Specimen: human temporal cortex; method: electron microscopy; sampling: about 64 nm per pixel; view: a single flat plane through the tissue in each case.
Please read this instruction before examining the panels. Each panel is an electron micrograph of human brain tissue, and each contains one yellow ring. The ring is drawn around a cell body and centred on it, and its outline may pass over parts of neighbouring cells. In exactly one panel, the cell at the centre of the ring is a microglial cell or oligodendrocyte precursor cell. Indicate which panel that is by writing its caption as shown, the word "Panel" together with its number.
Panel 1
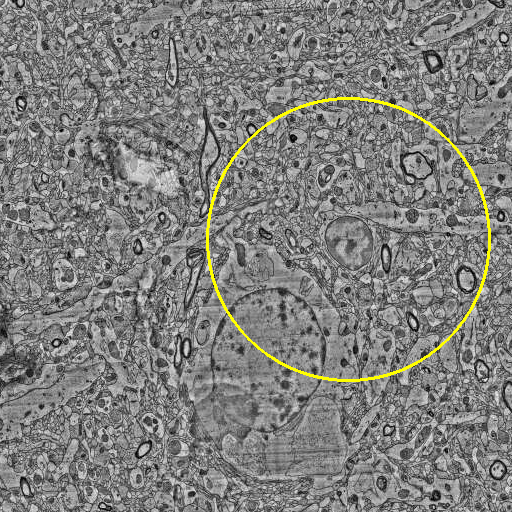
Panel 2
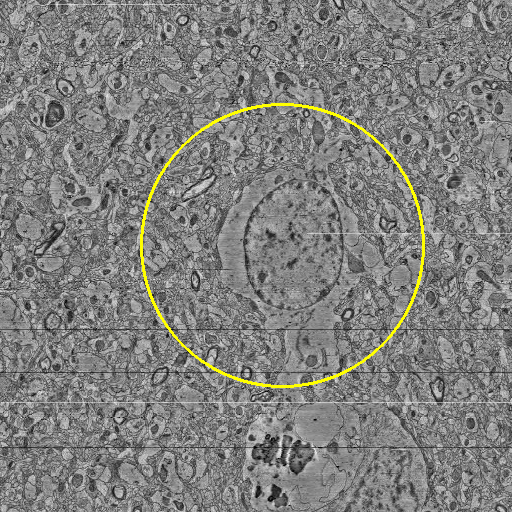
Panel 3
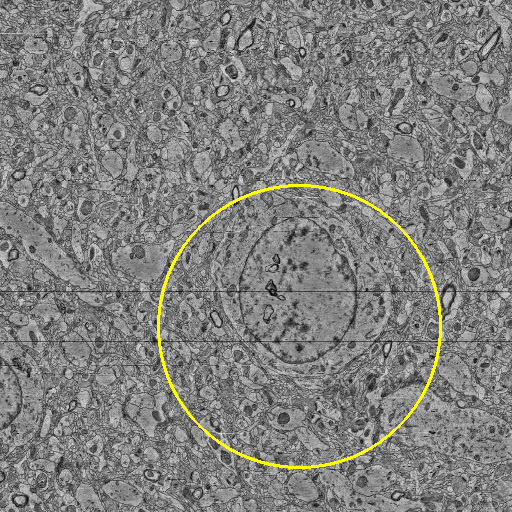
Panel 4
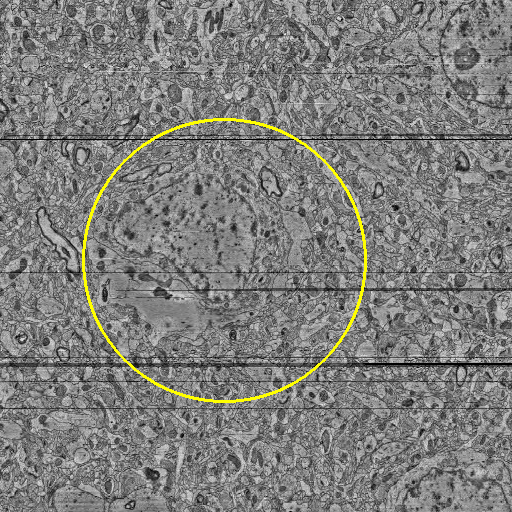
Panel 1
